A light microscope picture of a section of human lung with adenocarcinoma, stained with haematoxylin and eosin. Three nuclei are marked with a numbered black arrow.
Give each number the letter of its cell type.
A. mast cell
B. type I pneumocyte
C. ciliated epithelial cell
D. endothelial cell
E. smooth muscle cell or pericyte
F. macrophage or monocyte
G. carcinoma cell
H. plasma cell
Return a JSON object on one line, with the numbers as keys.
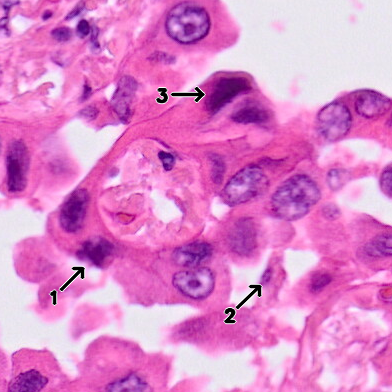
{"1": "G", "2": "F", "3": "G"}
